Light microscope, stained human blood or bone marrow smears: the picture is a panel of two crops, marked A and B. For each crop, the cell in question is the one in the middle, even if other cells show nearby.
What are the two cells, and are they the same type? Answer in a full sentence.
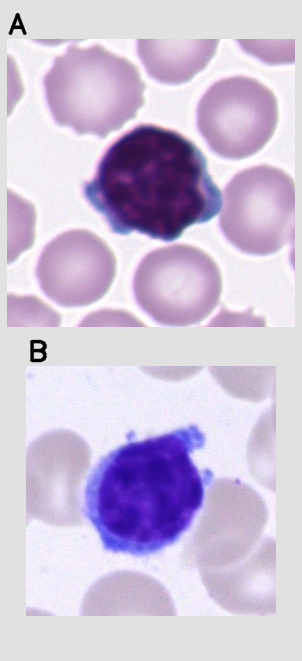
Yes, what both crops show at their centres are lymphocytes.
